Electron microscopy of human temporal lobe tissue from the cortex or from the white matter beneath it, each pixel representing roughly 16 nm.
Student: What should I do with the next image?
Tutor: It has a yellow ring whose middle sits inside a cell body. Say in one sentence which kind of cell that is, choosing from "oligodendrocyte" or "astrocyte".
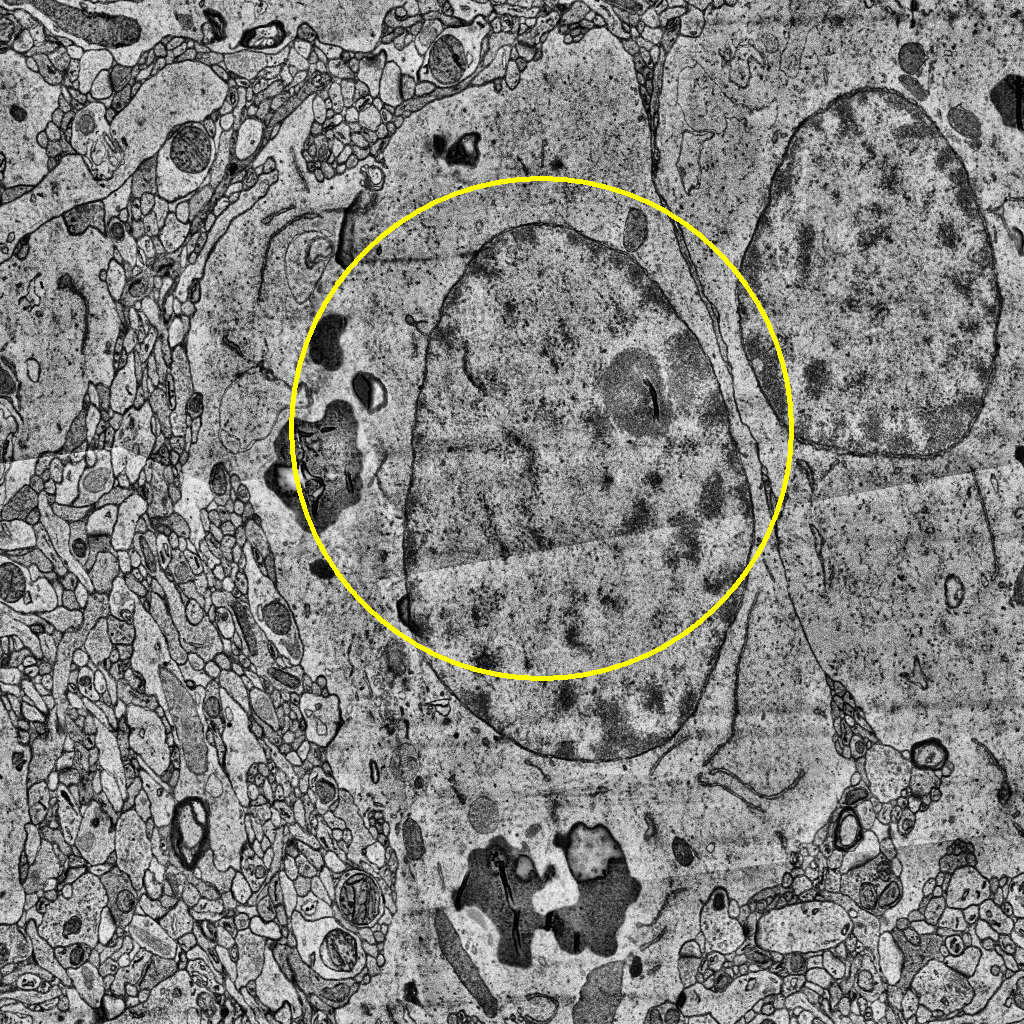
The ring's centre is occupied by an astrocyte.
